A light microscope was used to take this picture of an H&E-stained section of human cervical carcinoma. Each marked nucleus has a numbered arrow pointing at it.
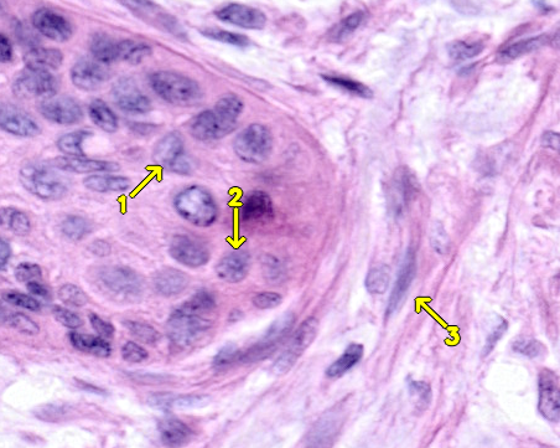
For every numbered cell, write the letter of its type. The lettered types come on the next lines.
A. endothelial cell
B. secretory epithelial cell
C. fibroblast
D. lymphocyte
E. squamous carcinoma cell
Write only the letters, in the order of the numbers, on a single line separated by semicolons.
E; E; C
